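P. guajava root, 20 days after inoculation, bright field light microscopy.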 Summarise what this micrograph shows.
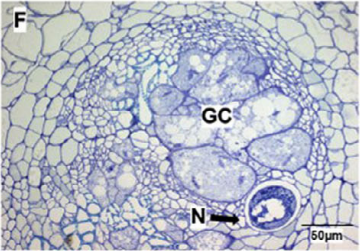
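This cross-section of a root shows a cluster of greatly enlarged giant cells lying within the central vascular region, each many times the size of the surrounding parenchyma cells. Their cytoplasm is dense, pale violet and granular, with irregular clear vacuole-like spaces, unlike the thin, empty-looking neighbouring cells. Right beside the cluster, at its lower edge, lies a cross-section of a nematode, a rounded body with a distinct wall and darker internal contents. The small, regularly arranged cells around the cluster are compressed and distorted, and the normal orderly pattern of the vascular tissue is disrupted.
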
